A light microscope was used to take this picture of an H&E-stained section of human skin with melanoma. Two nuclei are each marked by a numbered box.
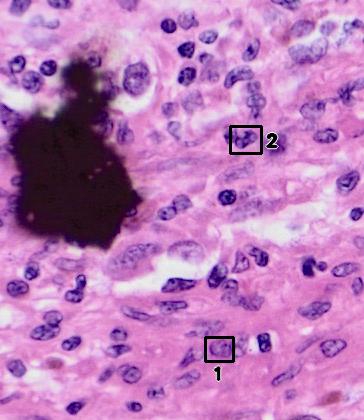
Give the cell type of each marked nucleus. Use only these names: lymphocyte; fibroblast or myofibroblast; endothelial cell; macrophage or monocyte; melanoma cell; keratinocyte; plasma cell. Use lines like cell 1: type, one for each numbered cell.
cell 1: endothelial cell
cell 2: lymphocyte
